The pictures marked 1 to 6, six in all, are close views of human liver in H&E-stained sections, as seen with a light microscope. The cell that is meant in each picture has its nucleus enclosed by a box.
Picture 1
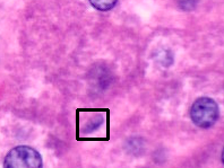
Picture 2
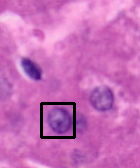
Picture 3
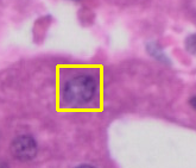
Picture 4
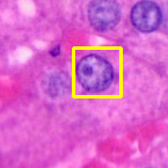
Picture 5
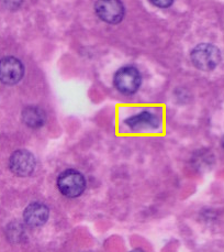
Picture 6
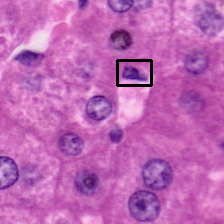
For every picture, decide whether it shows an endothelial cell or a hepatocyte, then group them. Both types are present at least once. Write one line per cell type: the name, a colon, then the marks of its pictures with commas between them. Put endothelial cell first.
endothelial cell: 1, 5, 6
hepatocyte: 2, 3, 4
